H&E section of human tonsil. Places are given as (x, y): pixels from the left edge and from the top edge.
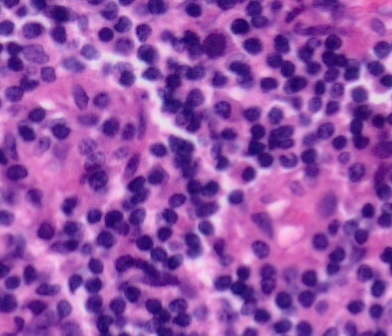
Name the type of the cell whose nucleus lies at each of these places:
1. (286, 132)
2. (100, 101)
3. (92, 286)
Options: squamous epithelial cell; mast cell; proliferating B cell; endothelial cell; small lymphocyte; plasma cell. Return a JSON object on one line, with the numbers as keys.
{"1": "small lymphocyte", "2": "plasma cell", "3": "small lymphocyte"}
